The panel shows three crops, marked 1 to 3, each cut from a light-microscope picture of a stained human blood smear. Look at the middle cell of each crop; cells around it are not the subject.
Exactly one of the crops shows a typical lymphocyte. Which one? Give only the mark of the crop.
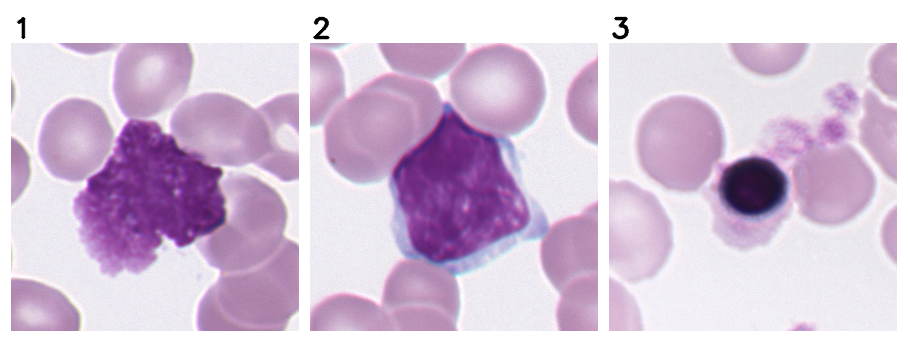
2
